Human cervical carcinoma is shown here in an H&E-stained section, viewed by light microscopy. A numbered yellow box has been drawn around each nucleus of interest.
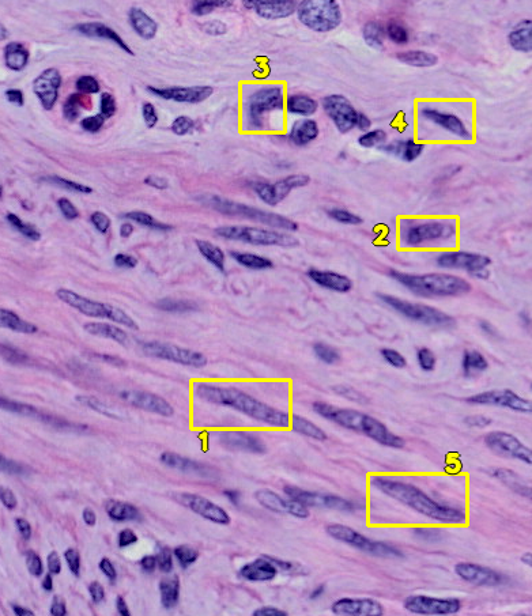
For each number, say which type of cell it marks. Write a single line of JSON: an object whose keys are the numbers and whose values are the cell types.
{"1": "smooth muscle cell", "2": "smooth muscle cell", "3": "endothelial cell", "4": "fibroblast", "5": "smooth muscle cell"}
